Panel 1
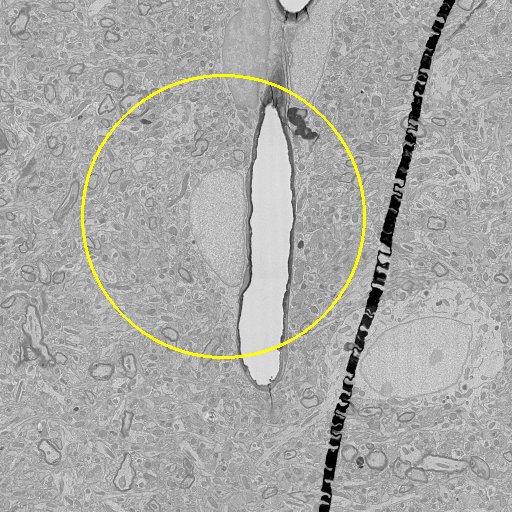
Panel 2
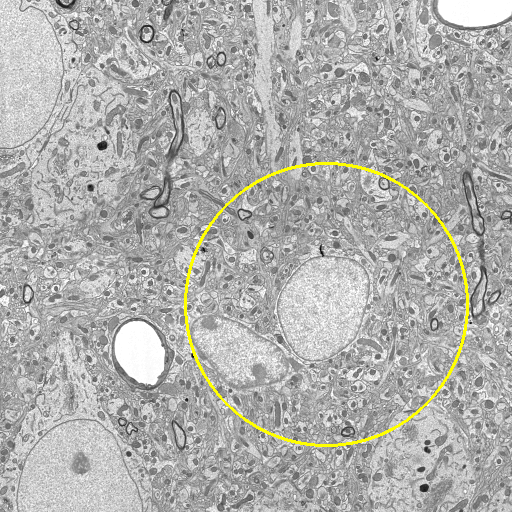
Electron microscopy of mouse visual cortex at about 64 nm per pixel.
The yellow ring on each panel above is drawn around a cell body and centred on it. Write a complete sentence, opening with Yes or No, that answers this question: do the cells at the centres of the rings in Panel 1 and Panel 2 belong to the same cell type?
Yes, both cells belong to the same cell type.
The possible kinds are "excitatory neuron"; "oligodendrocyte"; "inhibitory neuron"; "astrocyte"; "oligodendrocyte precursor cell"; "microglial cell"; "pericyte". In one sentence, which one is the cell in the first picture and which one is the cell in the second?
The cell at the ring centre is an astrocyte in both pictures.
